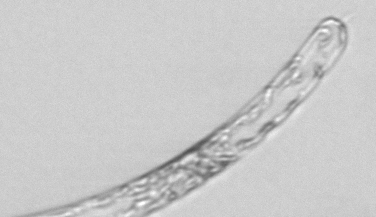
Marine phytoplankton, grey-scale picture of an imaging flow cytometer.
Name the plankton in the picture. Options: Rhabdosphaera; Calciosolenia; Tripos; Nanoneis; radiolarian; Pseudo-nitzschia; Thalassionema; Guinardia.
Guinardia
